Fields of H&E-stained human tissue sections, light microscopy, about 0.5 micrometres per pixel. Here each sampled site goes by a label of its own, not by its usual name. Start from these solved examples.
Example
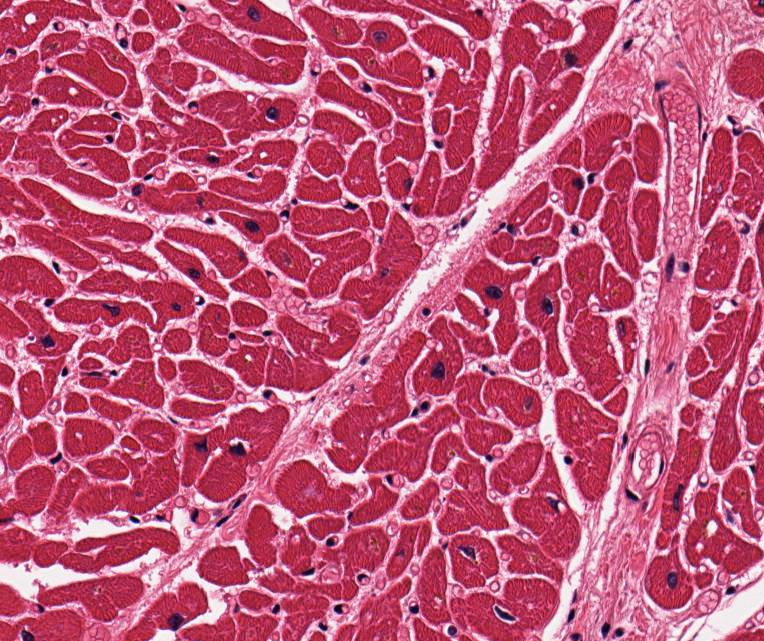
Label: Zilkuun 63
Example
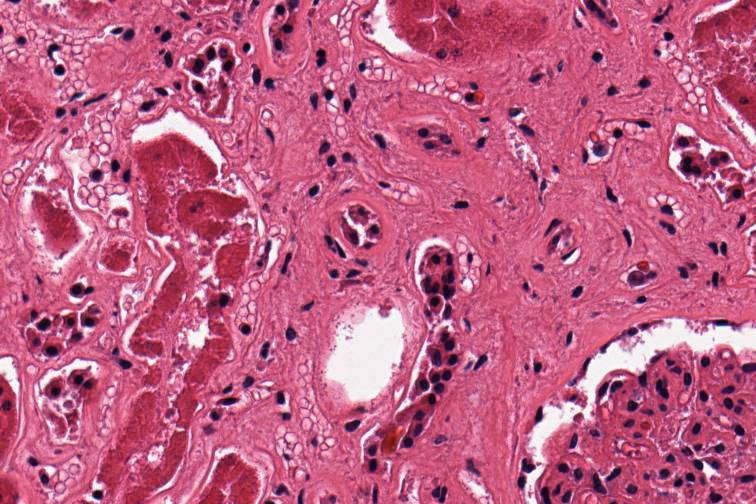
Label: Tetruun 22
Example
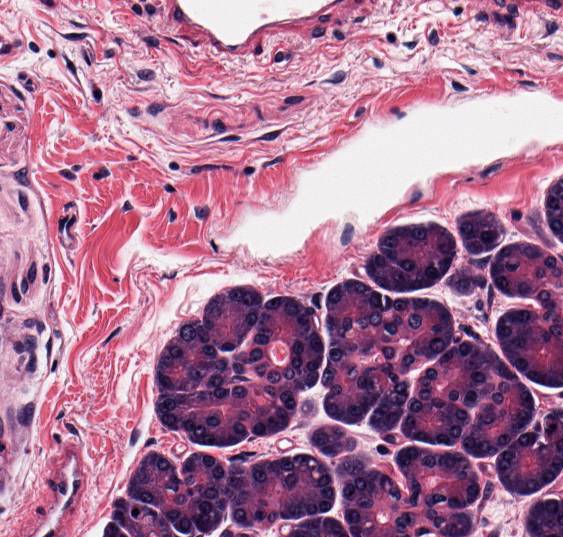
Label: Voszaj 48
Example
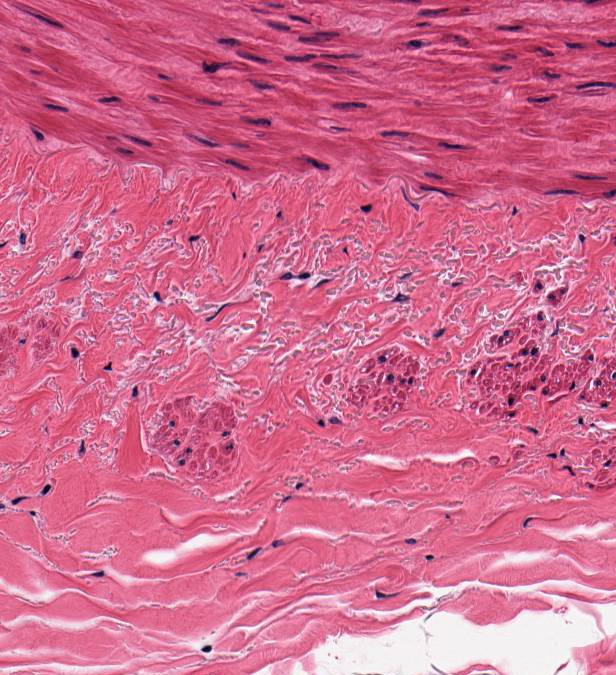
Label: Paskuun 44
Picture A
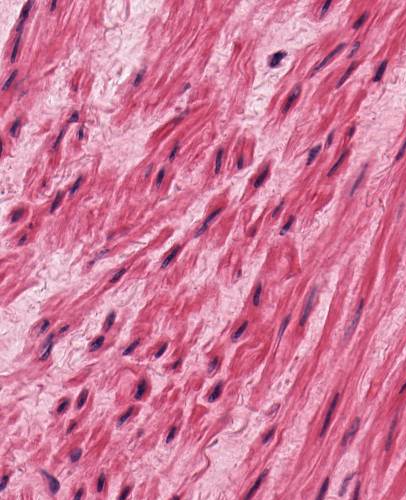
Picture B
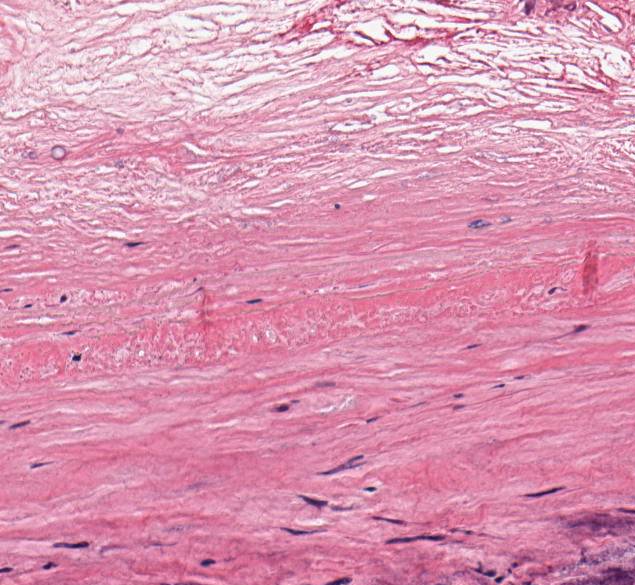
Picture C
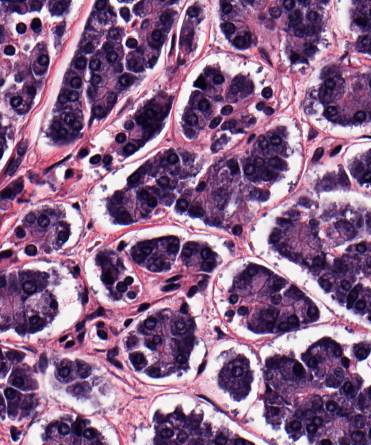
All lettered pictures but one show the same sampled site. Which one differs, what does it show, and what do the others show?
Exception: C, showing Voszaj 48. Remaining pictures: Paskuun 44.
